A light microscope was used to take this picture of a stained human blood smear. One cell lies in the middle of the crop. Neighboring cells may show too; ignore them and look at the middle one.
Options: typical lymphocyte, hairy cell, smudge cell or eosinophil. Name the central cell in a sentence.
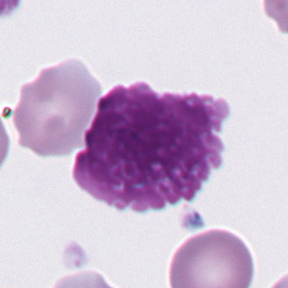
The middle of this crop is occupied by a smudge cell.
